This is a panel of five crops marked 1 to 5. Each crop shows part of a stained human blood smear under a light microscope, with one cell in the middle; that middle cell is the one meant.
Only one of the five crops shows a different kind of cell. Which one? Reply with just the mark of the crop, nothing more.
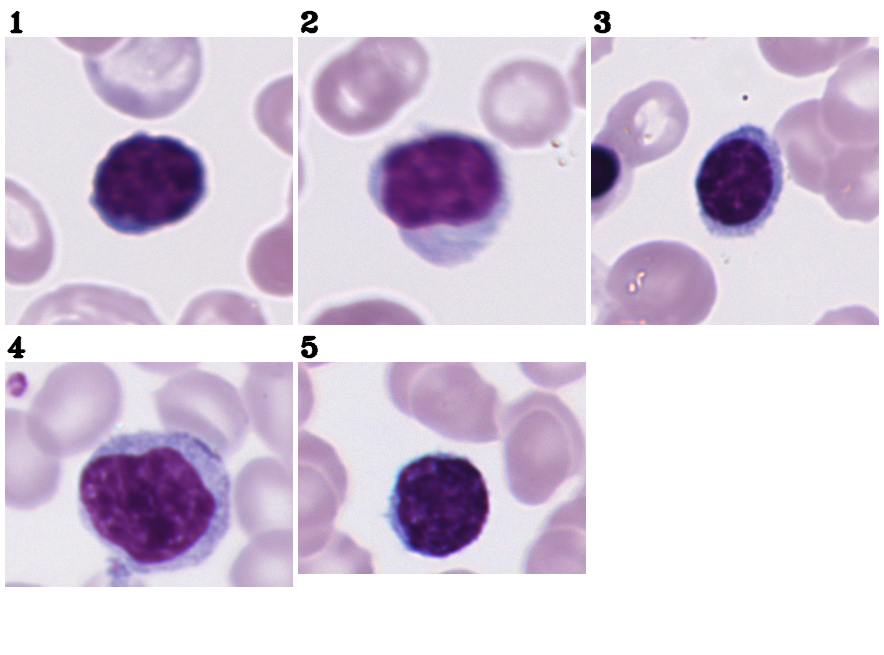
3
